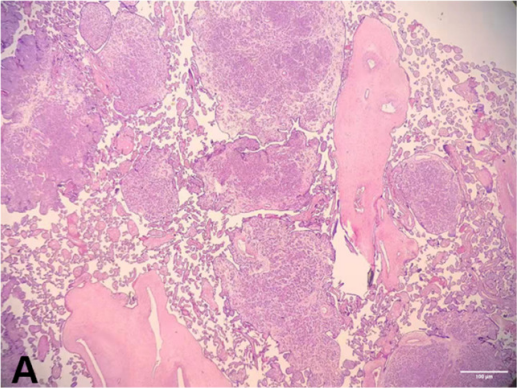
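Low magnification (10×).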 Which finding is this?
nodular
